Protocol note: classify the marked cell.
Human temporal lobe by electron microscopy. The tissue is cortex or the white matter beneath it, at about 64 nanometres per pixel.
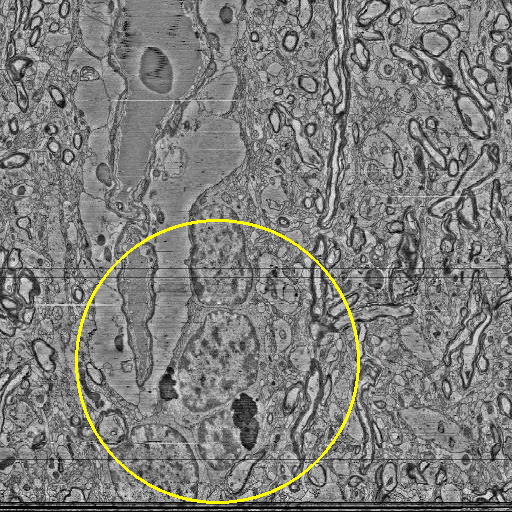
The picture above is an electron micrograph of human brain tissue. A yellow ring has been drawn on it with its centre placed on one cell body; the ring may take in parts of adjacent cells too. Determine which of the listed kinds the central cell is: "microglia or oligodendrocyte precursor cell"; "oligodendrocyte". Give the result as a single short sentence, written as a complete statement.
The central cell is an oligodendrocyte.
